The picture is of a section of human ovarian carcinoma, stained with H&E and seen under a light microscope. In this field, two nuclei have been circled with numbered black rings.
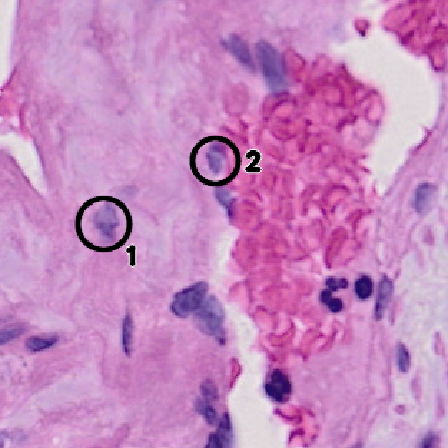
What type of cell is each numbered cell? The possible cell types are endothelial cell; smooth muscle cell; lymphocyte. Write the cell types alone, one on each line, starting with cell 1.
smooth muscle cell
endothelial cell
